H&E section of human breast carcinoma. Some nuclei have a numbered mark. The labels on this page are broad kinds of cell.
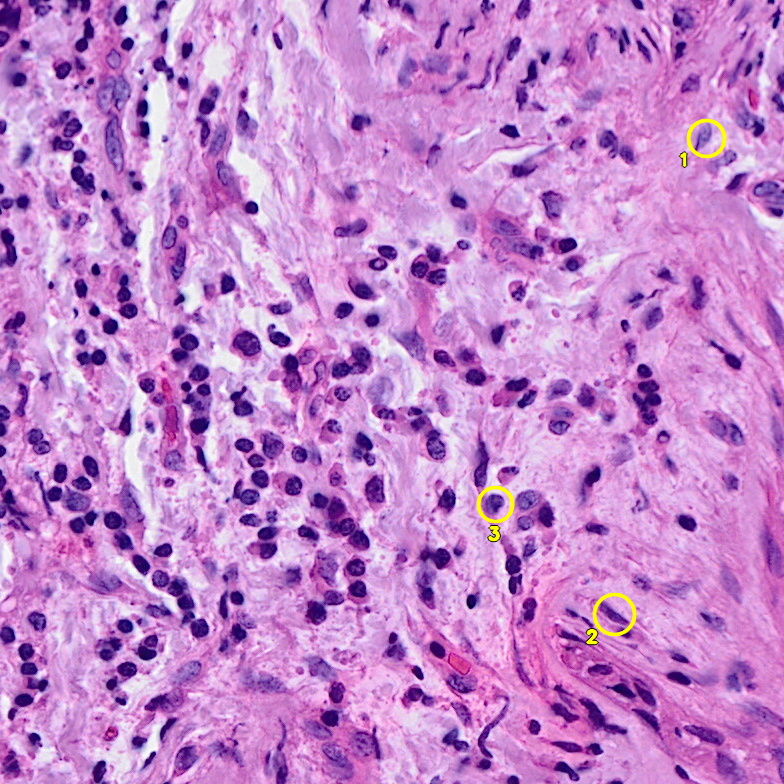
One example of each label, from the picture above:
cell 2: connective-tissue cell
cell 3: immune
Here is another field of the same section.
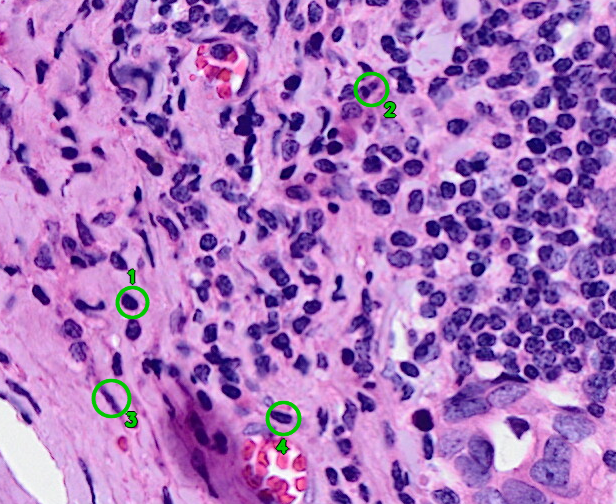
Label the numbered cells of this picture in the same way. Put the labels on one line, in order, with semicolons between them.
immune; immune; connective-tissue cell; immune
